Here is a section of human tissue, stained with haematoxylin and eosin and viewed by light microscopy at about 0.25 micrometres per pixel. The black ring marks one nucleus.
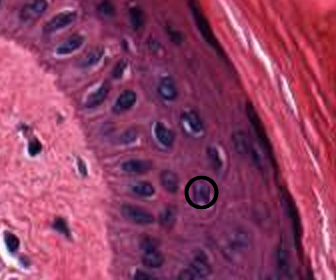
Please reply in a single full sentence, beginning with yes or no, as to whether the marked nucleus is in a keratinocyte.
Yes, the nucleus bearing the mark is that of a keratinocyte.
